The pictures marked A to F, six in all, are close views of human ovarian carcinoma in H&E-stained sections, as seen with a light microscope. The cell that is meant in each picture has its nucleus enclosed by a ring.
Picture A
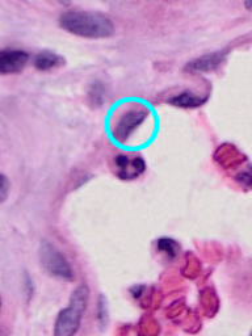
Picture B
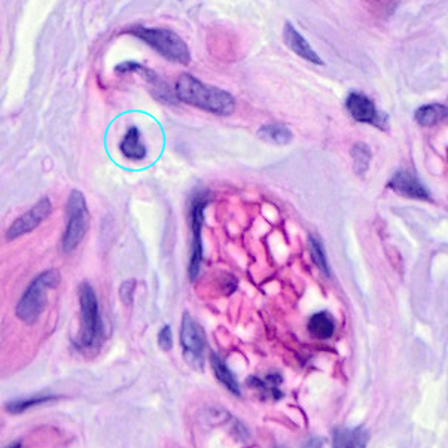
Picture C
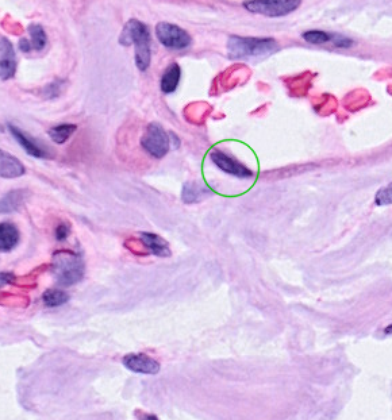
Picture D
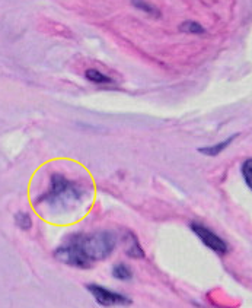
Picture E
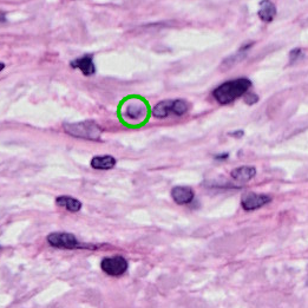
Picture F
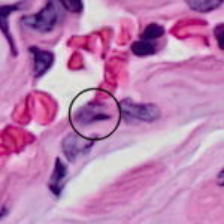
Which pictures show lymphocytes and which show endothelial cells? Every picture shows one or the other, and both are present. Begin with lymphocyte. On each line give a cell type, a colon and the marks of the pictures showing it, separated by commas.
lymphocyte: B, E
endothelial cell: A, C, D, F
